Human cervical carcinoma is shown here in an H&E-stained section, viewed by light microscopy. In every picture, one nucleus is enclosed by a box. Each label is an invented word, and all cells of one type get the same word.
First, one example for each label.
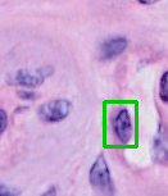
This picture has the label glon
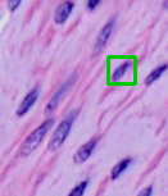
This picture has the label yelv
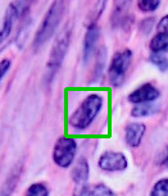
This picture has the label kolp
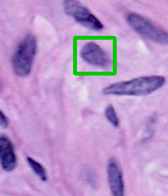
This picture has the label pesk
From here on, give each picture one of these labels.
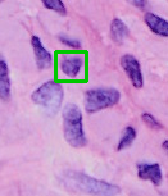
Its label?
pesk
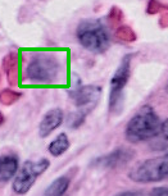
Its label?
glon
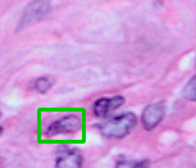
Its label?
glon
